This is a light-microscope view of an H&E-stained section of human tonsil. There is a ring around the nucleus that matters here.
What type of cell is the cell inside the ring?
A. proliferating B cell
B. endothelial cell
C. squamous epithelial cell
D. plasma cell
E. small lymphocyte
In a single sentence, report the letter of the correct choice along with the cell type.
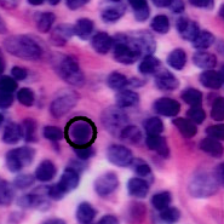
Under option B, the cell inside the ring is an endothelial cell, which is the correct identification.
